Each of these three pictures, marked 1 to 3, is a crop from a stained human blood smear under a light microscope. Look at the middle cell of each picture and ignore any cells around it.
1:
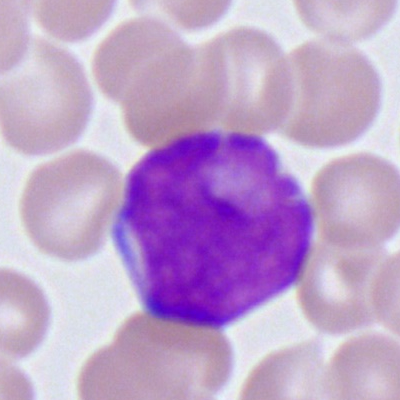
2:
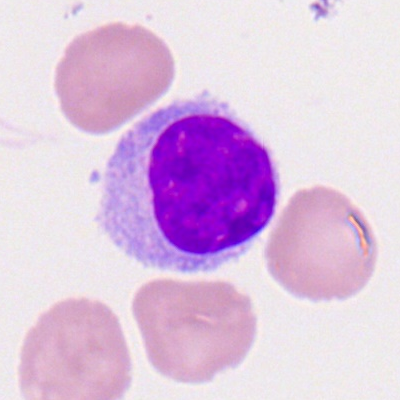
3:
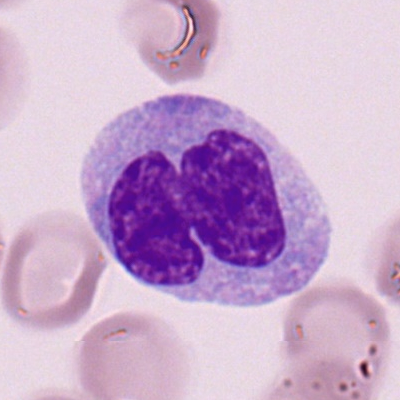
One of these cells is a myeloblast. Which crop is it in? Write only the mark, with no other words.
1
